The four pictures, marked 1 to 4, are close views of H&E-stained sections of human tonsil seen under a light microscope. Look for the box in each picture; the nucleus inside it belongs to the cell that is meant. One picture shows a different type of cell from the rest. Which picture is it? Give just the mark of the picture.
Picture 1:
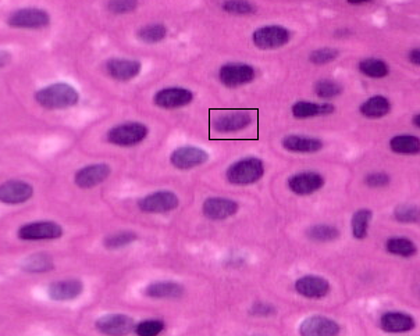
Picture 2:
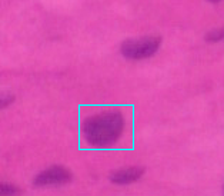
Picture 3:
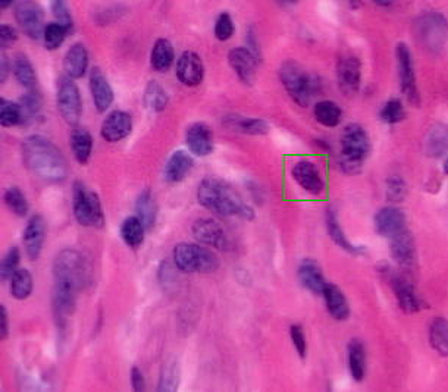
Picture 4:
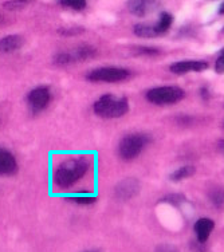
3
